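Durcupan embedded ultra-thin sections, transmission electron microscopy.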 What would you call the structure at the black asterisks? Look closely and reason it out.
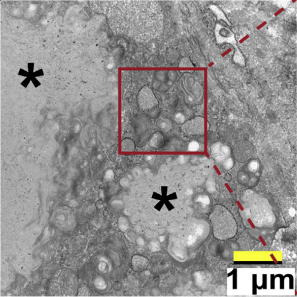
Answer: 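The marked areas are pale and homogeneous without internal organelles. Membranous whorled bodies lie around their margins. On this evidence: nonstructured lipid-like material.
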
